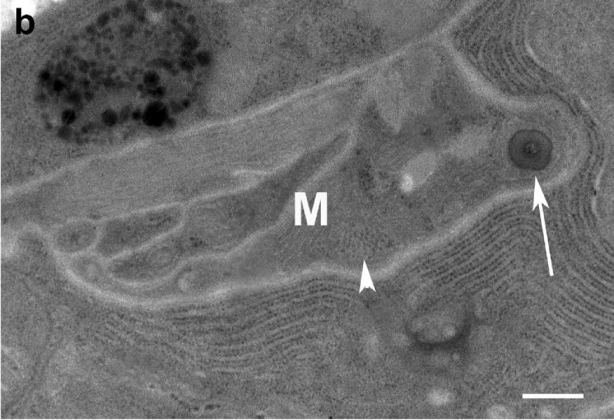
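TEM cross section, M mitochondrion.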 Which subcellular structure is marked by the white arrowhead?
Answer: microtubules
